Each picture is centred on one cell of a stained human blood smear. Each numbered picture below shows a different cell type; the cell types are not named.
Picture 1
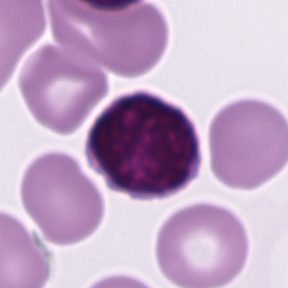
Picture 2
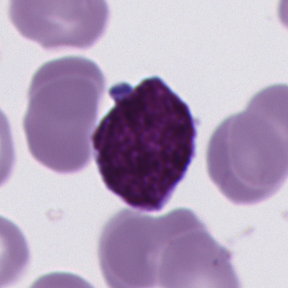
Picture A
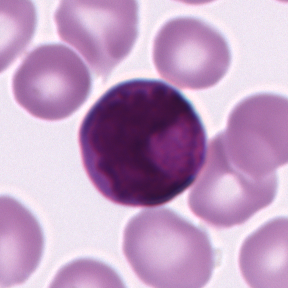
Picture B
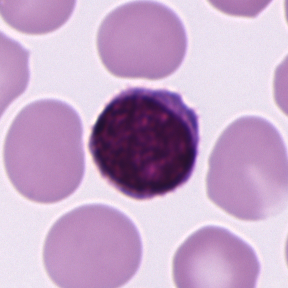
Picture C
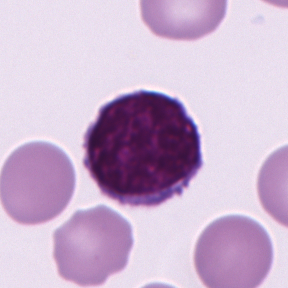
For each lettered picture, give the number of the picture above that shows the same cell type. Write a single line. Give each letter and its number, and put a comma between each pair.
A 2, B 1, C 1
